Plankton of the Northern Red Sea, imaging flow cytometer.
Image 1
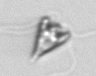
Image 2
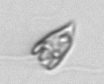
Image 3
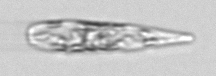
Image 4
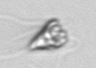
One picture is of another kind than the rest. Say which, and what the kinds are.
Picture 3 shows Licmophora; the rest show Pyramimonas.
